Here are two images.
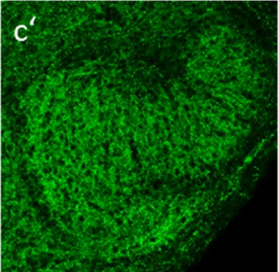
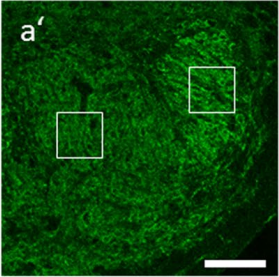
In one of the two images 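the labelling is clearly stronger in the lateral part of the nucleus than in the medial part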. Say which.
The second image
